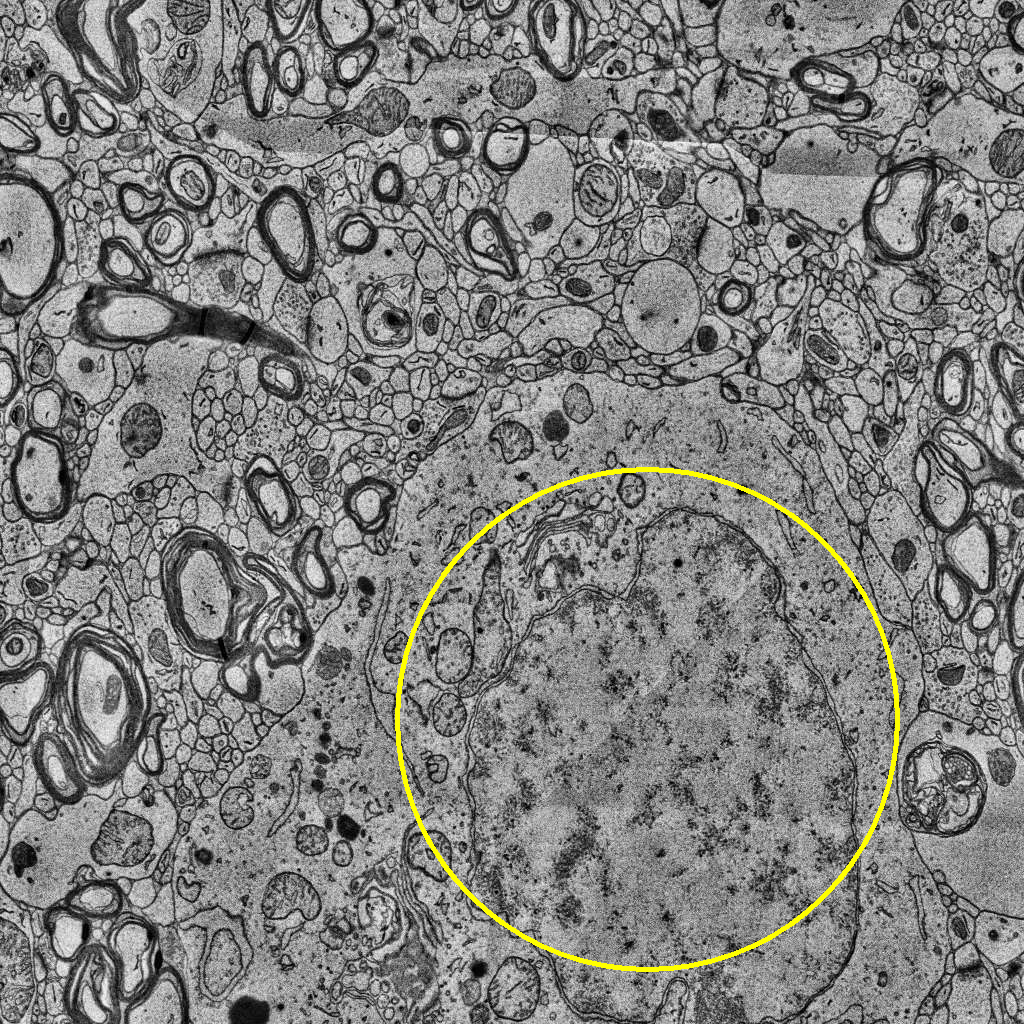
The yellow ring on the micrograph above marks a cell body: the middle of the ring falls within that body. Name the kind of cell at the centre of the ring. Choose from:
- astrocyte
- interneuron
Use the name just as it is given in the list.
interneuron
